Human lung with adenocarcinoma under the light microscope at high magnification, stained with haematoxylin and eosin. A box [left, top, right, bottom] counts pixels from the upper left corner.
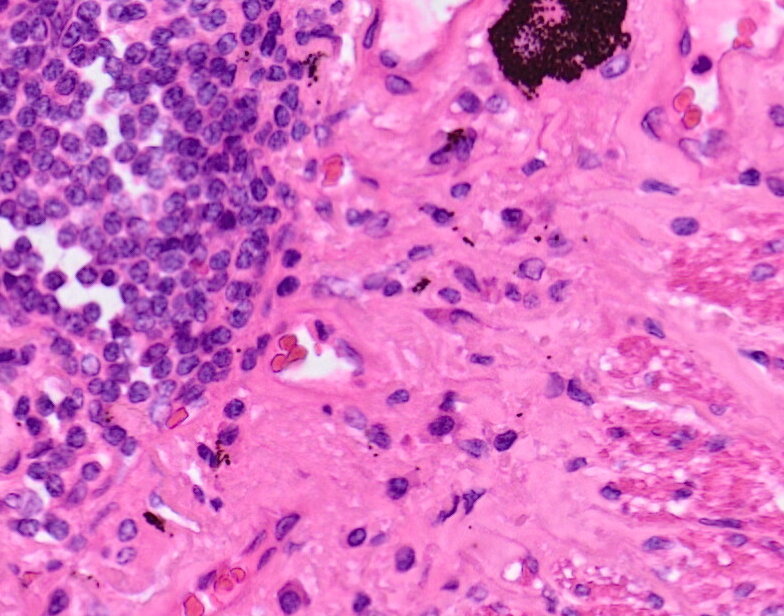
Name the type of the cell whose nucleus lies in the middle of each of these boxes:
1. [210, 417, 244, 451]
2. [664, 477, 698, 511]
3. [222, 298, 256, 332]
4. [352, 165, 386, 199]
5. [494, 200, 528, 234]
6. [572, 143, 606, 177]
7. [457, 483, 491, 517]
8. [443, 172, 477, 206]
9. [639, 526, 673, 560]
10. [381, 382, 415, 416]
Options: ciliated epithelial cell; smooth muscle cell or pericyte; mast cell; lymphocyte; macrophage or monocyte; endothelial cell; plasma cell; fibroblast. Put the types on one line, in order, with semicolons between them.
plasma cell; smooth muscle cell or pericyte; lymphocyte; endothelial cell; plasma cell; fibroblast; fibroblast; mast cell; smooth muscle cell or pericyte; mast cell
